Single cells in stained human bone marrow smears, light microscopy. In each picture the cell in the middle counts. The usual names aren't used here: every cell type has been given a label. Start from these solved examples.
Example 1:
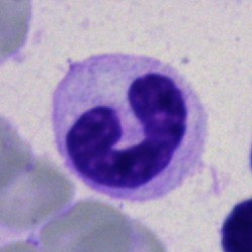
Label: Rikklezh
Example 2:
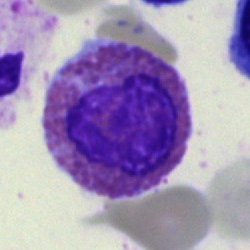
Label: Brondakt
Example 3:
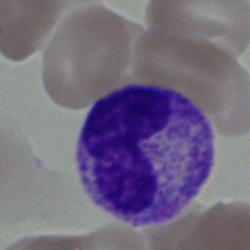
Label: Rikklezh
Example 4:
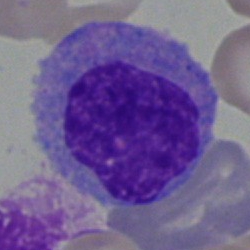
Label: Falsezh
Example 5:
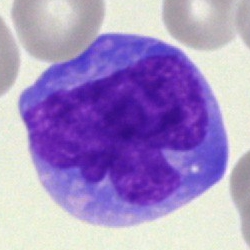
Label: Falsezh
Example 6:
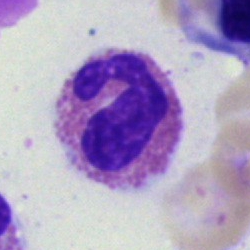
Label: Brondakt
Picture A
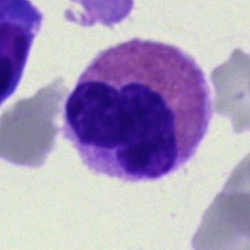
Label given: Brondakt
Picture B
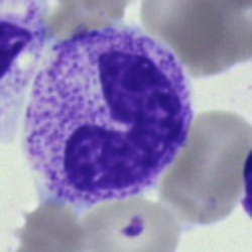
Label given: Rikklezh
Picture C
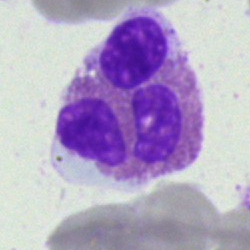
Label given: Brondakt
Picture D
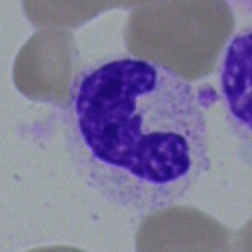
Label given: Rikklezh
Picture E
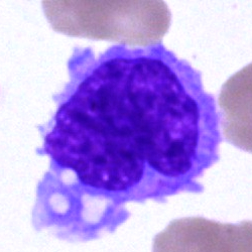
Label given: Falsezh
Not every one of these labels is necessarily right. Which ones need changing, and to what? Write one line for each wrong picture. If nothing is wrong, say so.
No label is wrong.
